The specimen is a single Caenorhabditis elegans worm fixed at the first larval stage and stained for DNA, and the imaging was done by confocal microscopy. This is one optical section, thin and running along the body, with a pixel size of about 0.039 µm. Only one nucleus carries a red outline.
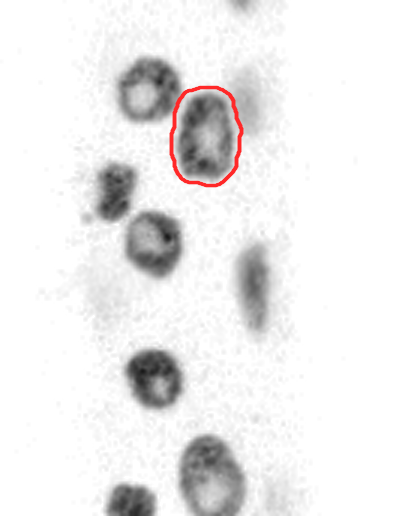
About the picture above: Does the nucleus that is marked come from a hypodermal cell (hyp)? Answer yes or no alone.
yes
